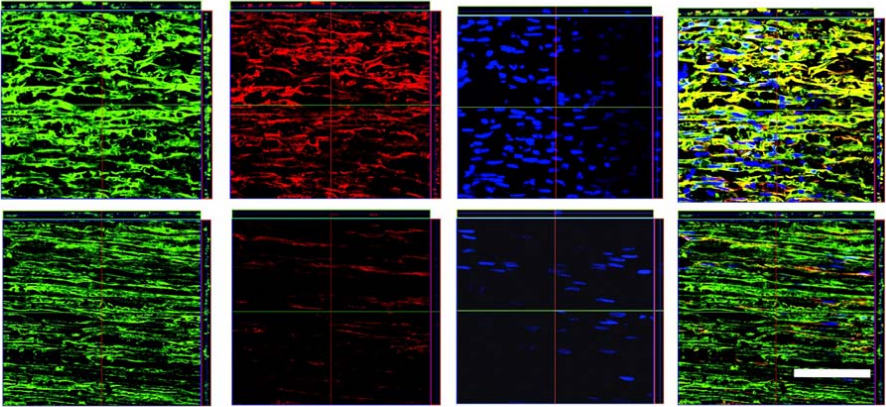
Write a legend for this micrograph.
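In the upper row the green and red profiles are broad, dense and irregular, overlap largely as yellow in the merge, and nuclei are numerous. In the lower row the green profiles are thin and regular, red is sparse, and nuclei are fewer.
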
